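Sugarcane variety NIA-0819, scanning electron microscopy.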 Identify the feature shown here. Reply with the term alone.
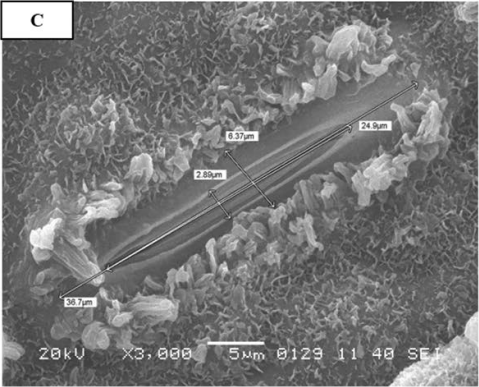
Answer: stomata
